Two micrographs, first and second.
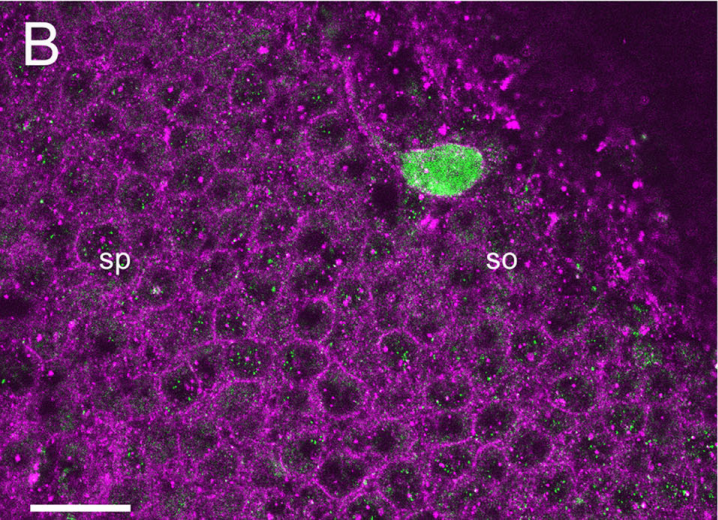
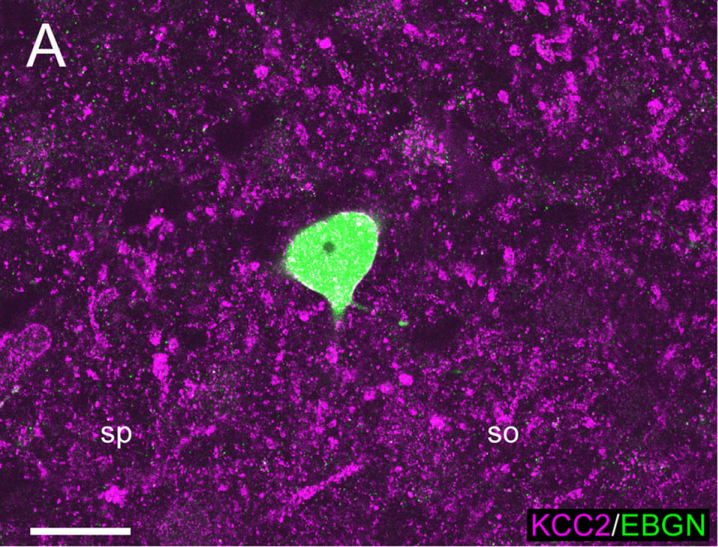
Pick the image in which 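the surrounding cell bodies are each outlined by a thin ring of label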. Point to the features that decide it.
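First image: many closely packed round cell bodies are each ringed by a thin magenta line. Second image: magenta label forms scattered puncta and patches without clear rings around cell bodies. The answer: the first image.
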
